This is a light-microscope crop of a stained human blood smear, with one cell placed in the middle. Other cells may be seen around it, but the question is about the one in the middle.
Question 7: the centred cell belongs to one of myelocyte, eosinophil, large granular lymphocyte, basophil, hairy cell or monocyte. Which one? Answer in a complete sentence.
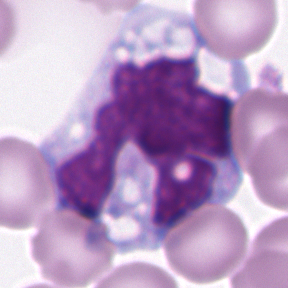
In the middle of this smear crop is a monocyte.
